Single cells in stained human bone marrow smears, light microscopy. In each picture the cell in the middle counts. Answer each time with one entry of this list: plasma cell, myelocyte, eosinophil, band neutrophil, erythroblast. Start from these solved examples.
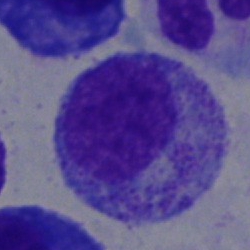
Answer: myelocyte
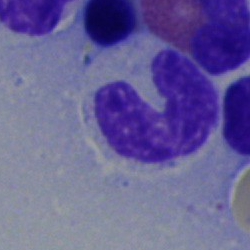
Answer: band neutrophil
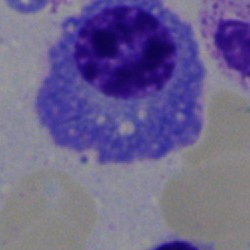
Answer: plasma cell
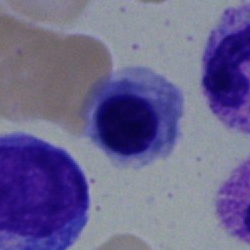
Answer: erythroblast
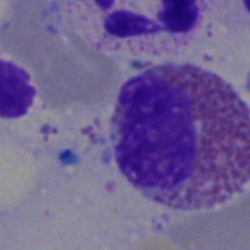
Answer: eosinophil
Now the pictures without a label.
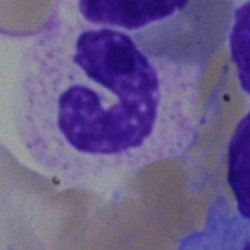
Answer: band neutrophil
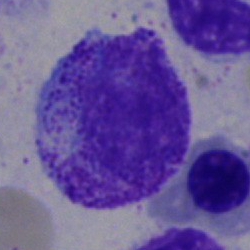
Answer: myelocyte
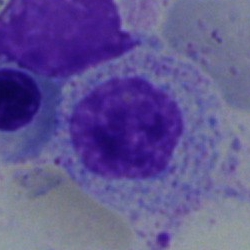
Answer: myelocyte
